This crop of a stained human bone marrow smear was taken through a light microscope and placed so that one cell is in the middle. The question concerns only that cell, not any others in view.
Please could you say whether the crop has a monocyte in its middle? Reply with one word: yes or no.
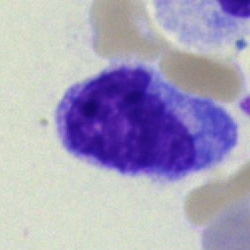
yes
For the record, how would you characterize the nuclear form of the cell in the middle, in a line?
A single compact nucleus, round, oval or kidney-shaped, is what this cell shows.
